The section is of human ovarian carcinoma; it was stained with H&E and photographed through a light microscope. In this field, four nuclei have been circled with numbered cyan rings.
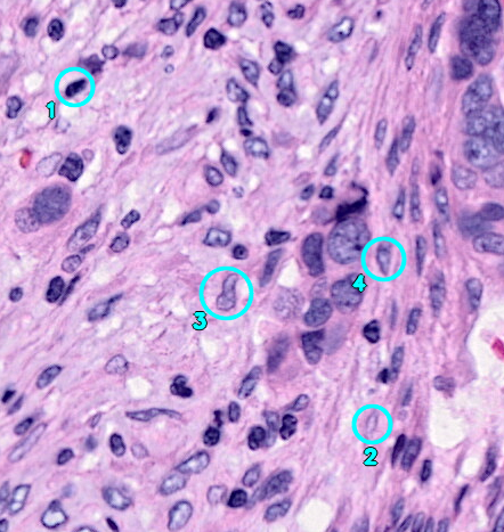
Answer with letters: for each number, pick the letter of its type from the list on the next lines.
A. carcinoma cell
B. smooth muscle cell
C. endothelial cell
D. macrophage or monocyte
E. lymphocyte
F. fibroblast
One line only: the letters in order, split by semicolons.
E; F; F; F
